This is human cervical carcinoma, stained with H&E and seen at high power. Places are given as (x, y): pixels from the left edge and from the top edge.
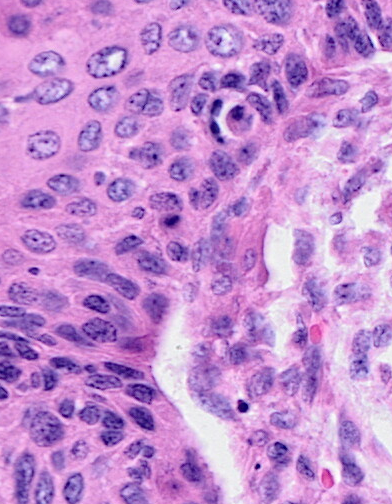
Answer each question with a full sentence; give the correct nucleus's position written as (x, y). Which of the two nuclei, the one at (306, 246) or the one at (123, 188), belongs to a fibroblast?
It is the nucleus at (306, 246), not the other one, that belongs to a fibroblast.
